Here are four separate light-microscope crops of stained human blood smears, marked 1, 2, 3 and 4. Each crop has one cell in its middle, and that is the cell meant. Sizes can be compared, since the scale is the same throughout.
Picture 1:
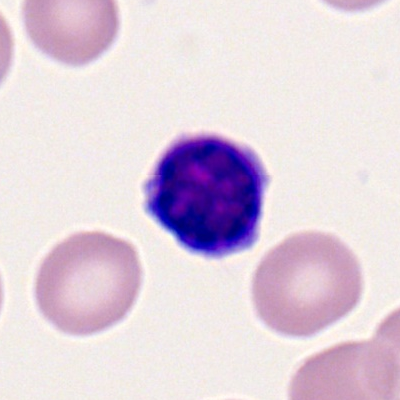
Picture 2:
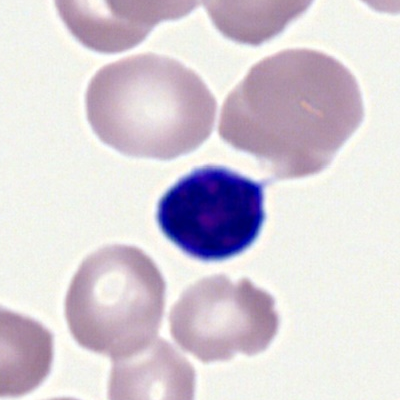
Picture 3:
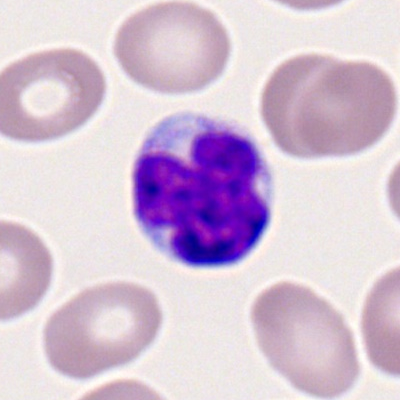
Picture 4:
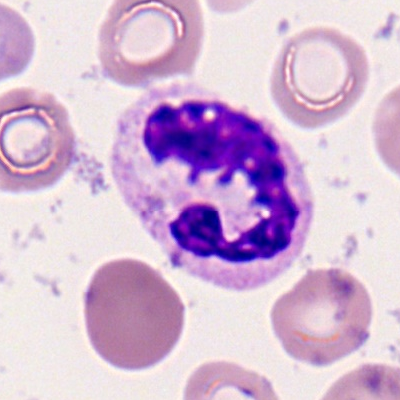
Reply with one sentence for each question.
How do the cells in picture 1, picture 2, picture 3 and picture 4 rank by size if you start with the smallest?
Going up, they run 2, 1, 3, 4.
